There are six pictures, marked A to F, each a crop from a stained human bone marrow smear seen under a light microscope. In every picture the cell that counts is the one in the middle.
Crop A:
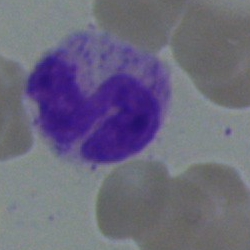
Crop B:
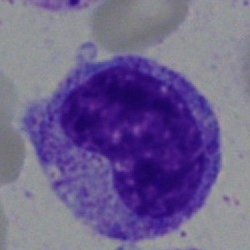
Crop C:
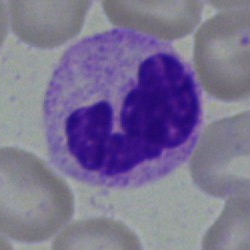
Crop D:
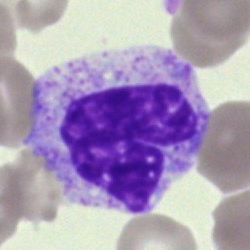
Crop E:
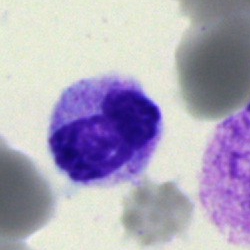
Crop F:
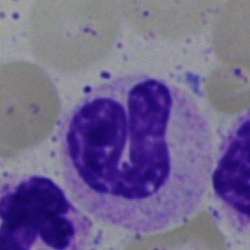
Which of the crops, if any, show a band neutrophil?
A, D, E, F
